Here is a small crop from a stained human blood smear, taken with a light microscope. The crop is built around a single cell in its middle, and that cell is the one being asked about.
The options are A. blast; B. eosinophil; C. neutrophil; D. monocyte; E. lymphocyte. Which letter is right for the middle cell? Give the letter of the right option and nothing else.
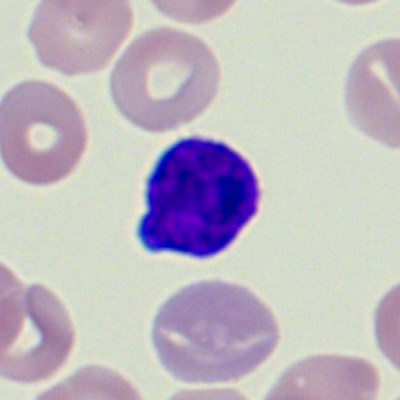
E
